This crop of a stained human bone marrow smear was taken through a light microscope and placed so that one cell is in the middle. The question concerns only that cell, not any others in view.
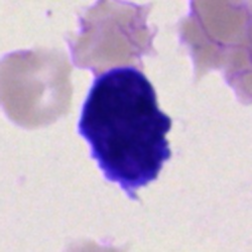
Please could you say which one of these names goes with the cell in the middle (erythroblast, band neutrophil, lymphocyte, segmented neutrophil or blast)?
blast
